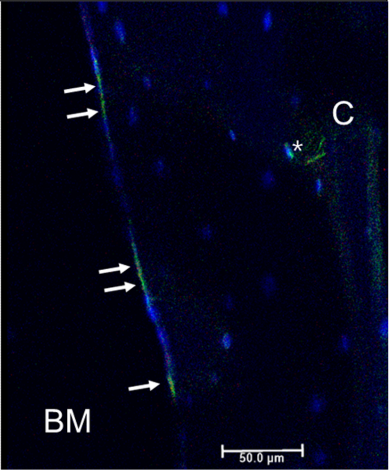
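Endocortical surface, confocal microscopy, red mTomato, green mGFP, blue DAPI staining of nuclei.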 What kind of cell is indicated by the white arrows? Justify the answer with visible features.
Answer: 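A thin discontinuous green line runs along the bone surface next to the marrow.
Answer: bone lining cell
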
